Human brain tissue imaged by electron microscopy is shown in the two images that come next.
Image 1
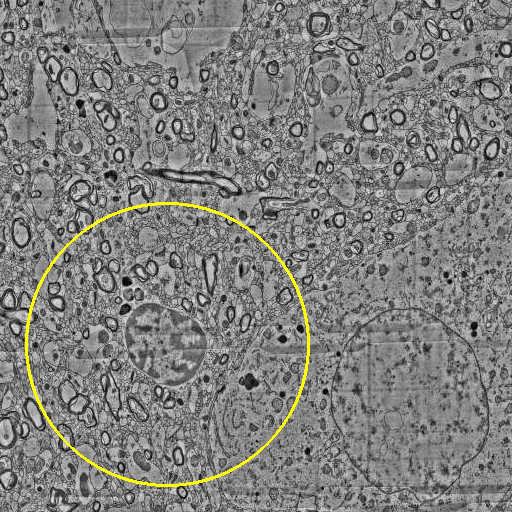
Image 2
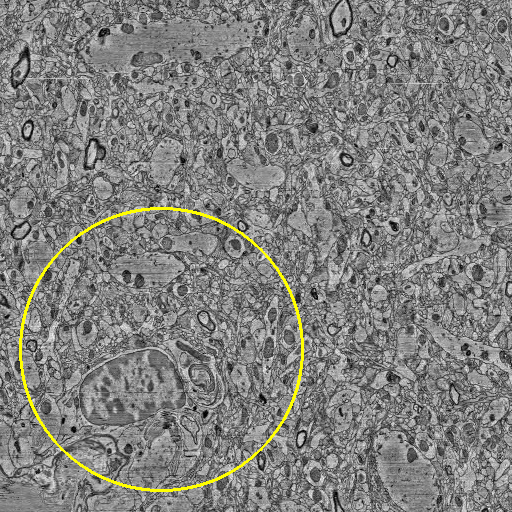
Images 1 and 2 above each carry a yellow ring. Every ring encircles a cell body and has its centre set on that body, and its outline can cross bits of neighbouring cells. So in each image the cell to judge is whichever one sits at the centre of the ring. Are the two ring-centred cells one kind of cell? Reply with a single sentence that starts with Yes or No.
Yes, in Image 1 and Image 2 the cells at the centres of their rings fall into one type.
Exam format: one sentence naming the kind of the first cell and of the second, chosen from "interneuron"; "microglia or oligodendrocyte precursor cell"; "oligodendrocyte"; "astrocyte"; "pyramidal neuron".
Each of the two rings surrounds a microglial cell or oligodendrocyte precursor cell.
